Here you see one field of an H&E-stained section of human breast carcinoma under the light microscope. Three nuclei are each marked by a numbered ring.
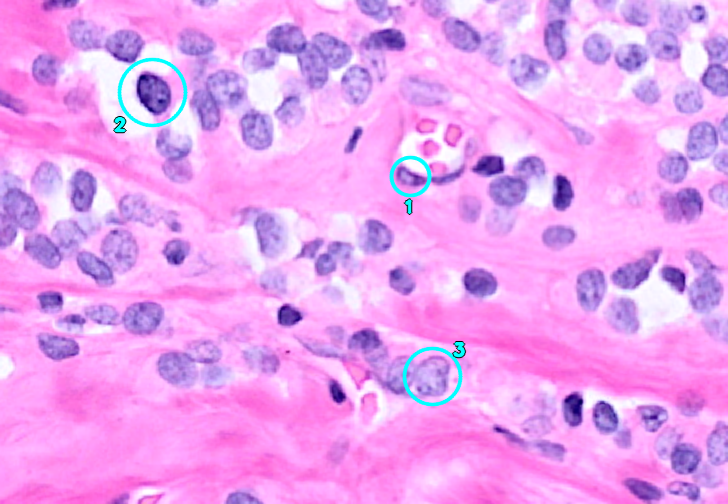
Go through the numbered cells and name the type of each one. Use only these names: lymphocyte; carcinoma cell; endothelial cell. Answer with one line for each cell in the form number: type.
1: endothelial cell
2: carcinoma cell
3: carcinoma cell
